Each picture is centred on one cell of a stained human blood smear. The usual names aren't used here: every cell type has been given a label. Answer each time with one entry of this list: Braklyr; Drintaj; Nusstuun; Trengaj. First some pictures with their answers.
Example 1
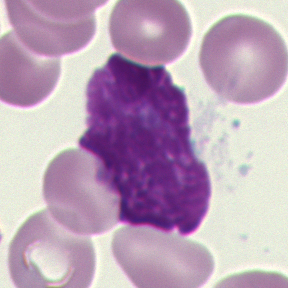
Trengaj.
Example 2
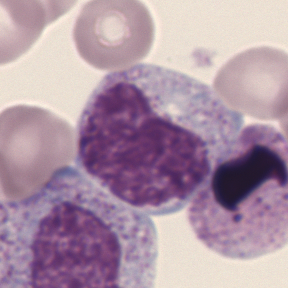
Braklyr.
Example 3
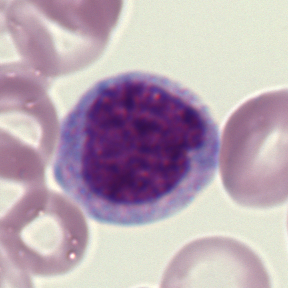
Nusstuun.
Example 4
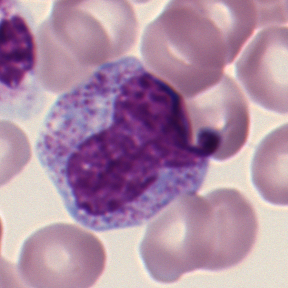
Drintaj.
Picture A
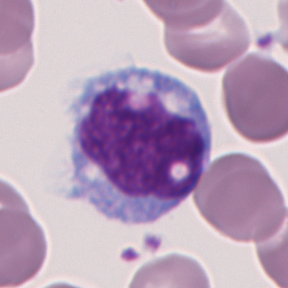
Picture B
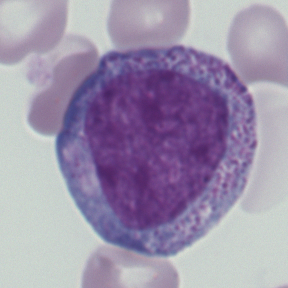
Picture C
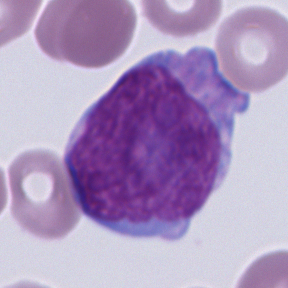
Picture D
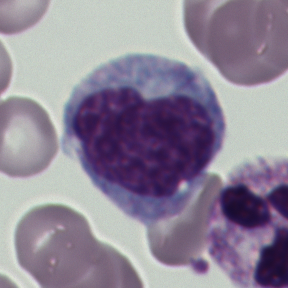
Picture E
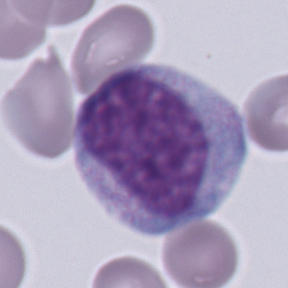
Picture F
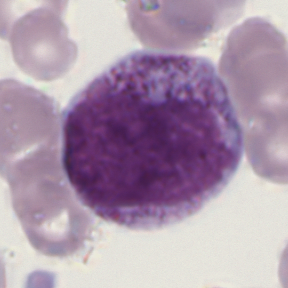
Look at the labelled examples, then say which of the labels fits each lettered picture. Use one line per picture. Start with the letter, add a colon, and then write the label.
A: Nusstuun.
B: Braklyr.
C: Braklyr.
D: Nusstuun.
E: Braklyr.
F: Braklyr.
